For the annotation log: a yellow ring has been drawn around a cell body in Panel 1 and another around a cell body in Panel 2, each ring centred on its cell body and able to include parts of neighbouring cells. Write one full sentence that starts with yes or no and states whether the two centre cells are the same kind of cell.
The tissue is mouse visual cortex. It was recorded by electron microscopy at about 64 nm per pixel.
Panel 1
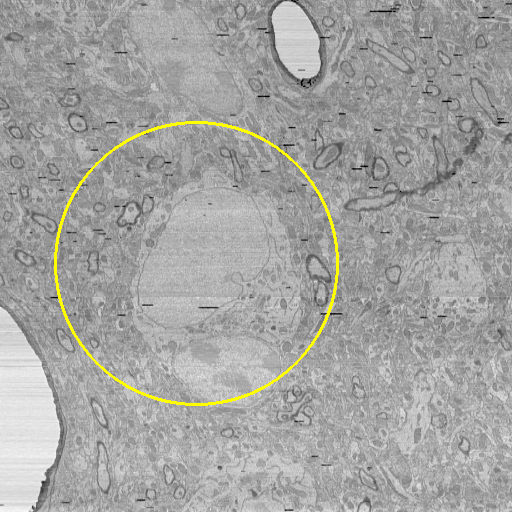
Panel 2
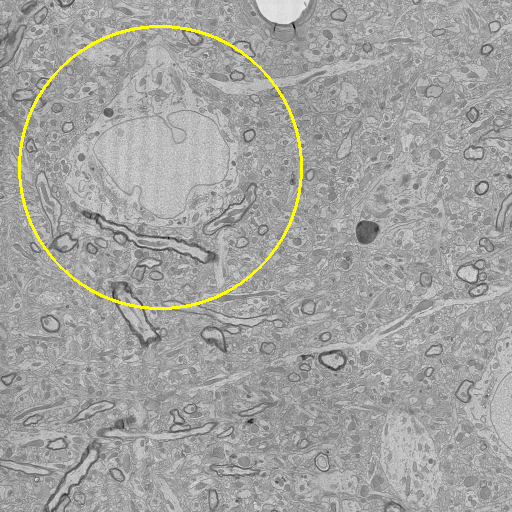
Yes, the two centre cells are the same kind of cell.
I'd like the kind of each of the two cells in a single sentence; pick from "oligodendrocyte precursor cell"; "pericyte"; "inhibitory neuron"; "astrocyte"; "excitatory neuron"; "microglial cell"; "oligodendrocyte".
Each of the two rings surrounds an excitatory neuron.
